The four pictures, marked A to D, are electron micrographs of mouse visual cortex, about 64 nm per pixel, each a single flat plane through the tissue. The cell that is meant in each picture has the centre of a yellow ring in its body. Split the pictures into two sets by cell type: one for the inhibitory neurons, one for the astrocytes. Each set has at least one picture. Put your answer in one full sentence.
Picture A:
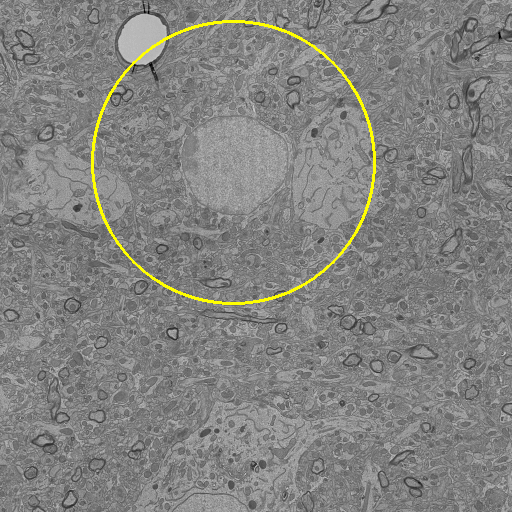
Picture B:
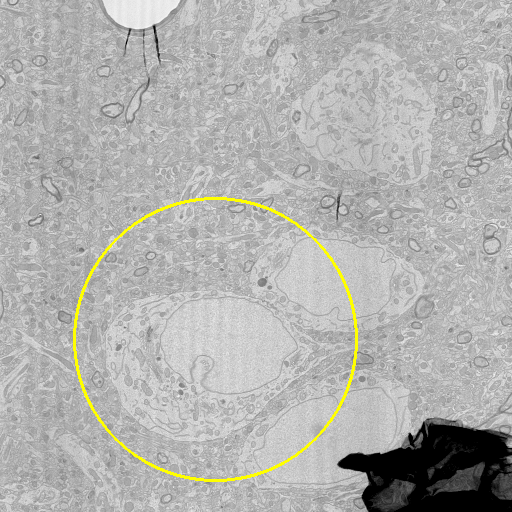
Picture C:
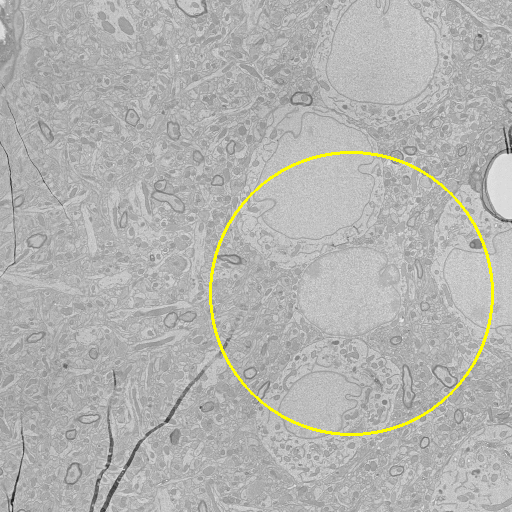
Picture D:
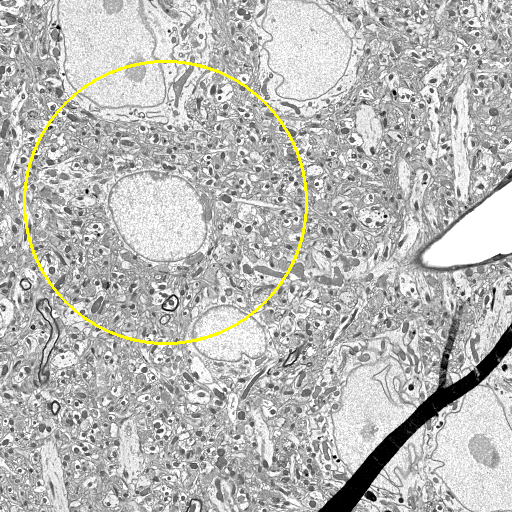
Picture B shows an inhibitory neuron; pictures A, C and D show astrocytes.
